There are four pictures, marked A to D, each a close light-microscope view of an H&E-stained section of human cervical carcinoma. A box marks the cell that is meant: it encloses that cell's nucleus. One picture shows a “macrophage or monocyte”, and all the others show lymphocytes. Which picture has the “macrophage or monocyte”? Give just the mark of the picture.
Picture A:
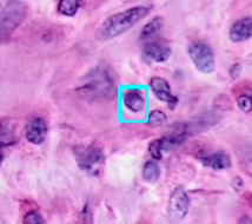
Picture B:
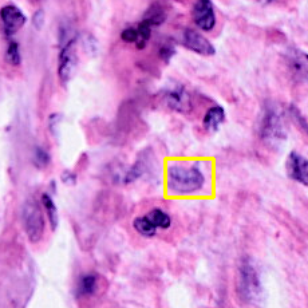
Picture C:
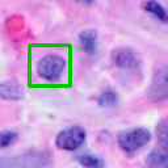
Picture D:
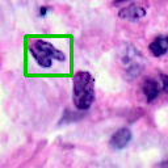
B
